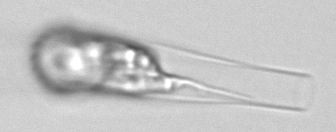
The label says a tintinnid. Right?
Right.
